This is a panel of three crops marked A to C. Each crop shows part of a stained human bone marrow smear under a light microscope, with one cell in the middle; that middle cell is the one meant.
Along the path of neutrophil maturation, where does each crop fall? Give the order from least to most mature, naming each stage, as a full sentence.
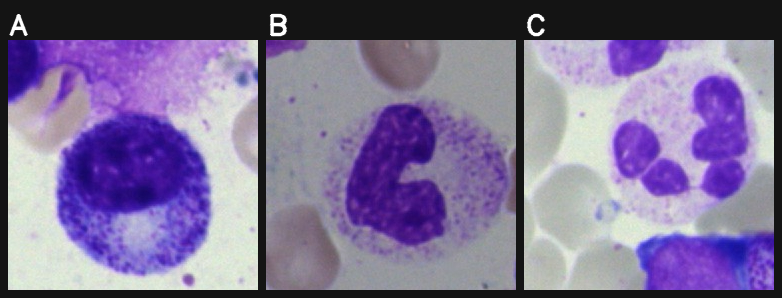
Arranged from least mature to most mature, the sequence reads crop A (a promyelocyte), crop B (a band neutrophil) and crop C (a segmented neutrophil).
